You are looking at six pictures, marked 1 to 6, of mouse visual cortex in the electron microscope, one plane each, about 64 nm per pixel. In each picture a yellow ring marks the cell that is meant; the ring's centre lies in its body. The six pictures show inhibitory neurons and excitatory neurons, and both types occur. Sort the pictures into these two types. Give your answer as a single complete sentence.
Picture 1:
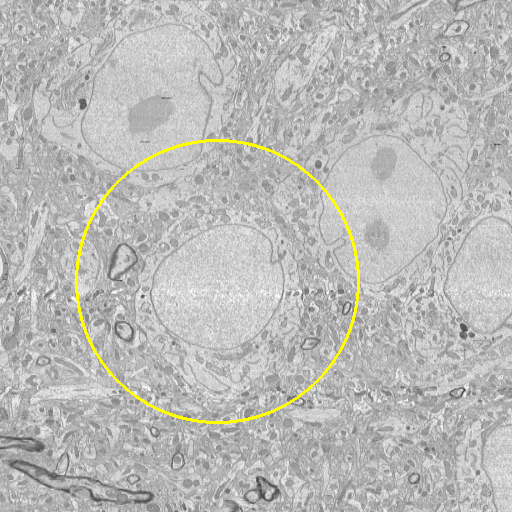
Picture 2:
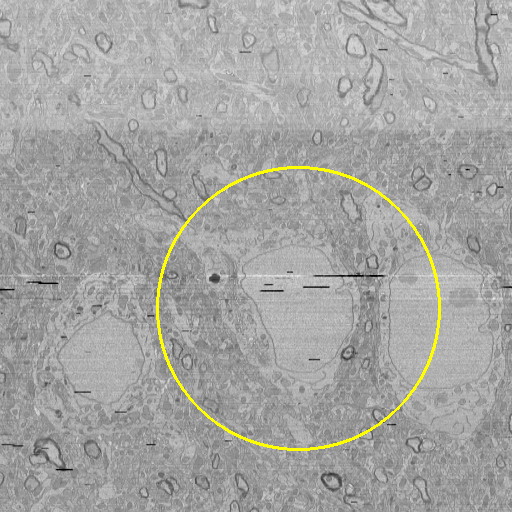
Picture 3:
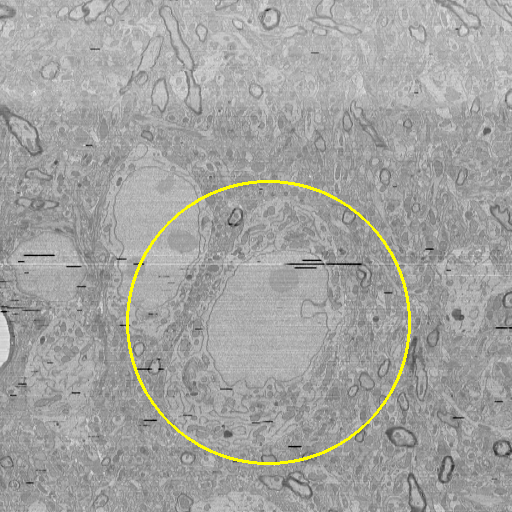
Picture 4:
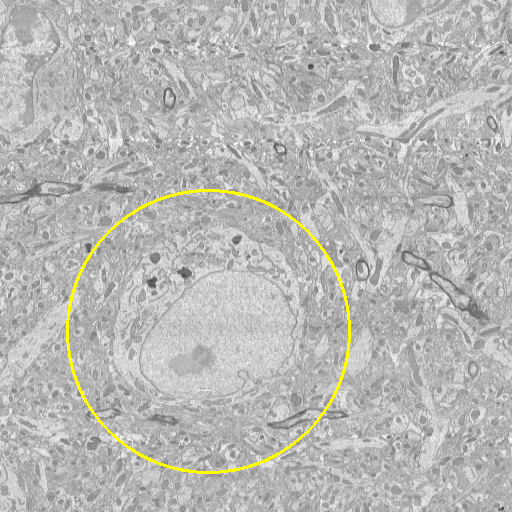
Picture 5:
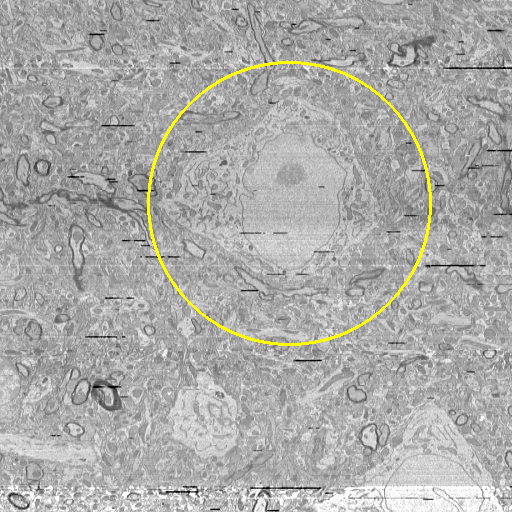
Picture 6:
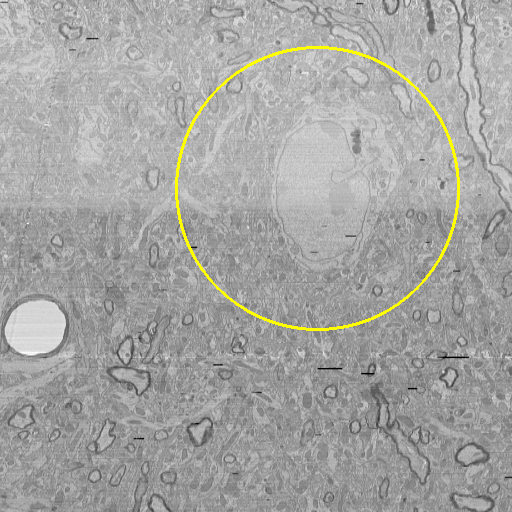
Pictures 3, 4 and 5 show inhibitory neurons, and pictures 1, 2 and 6 show excitatory neurons.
